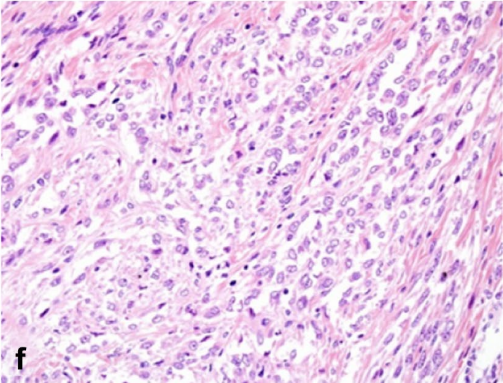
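These are epithelioid tumor cells that look fairly bland, with round to oval nuclei and moderate amounts of pale pink cytoplasm. They lie in loose groups and cords separated by pink fibrous strands.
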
